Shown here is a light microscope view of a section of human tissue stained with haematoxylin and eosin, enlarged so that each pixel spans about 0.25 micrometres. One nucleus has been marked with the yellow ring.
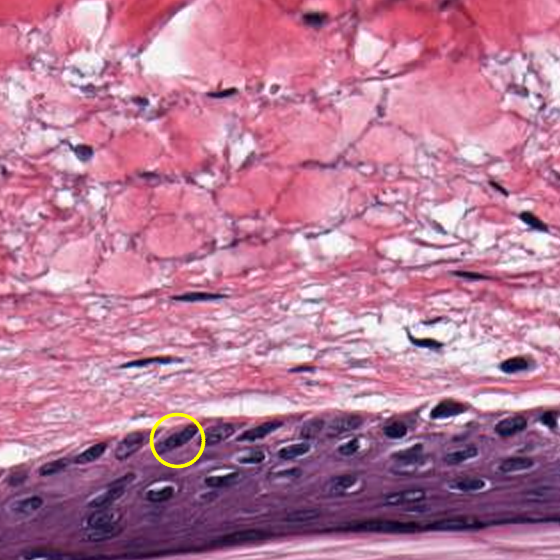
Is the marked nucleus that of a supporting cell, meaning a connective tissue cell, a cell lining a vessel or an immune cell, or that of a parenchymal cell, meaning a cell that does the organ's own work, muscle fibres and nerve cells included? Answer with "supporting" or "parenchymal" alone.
parenchymal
